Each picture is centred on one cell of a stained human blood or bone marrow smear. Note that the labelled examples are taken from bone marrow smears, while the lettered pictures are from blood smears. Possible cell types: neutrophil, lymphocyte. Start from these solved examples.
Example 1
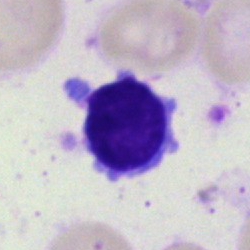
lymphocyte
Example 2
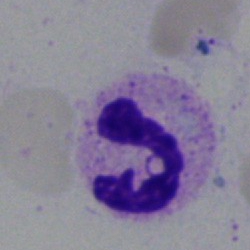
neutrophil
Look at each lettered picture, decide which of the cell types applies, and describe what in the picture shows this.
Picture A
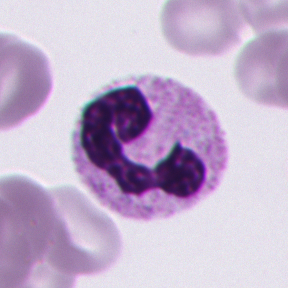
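Answer: neutrophil. The nucleus is a single curved C-shaped band whose open side faces right.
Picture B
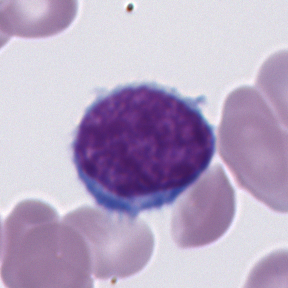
Answer: lymphocyte. The cytoplasm is a scant rim that is widest along the lower edge of the cell.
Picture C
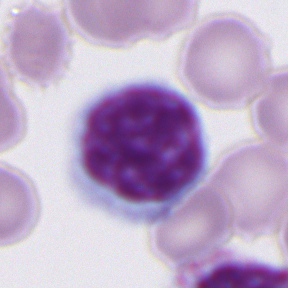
Answer: lymphocyte. The cytoplasm forms only a narrow rim around the nucleus.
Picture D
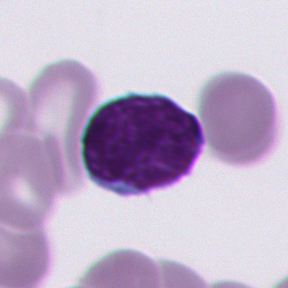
Answer: lymphocyte. Only a scant rim of pale blue cytoplasm shows, mostly at the lower edge.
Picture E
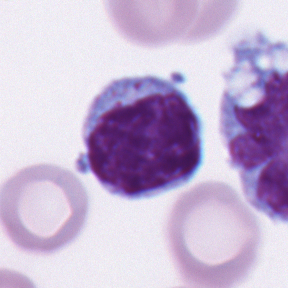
Answer: lymphocyte. The cytoplasm forms a thin crescent that is widest at the upper left.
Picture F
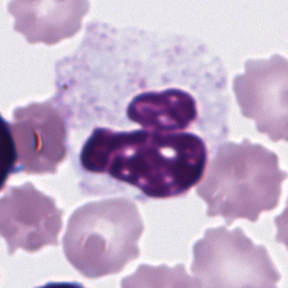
Answer: neutrophil. The cytoplasm is abundant and very pale lilac-grey.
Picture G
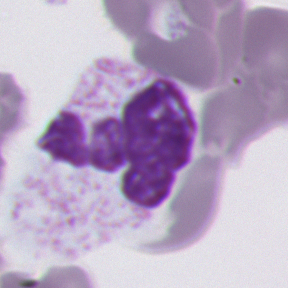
Answer: neutrophil. The nuclear lobes lie in a row across the middle and right side of the cell.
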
